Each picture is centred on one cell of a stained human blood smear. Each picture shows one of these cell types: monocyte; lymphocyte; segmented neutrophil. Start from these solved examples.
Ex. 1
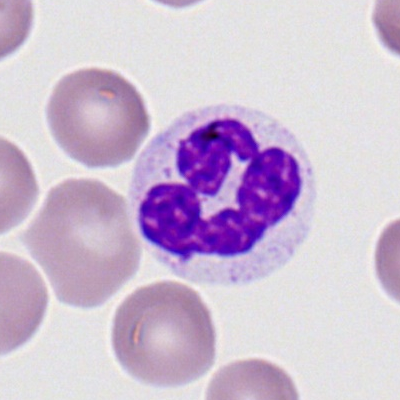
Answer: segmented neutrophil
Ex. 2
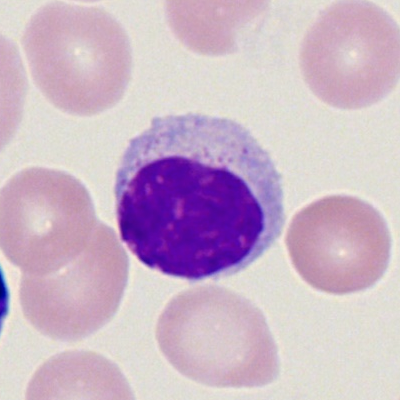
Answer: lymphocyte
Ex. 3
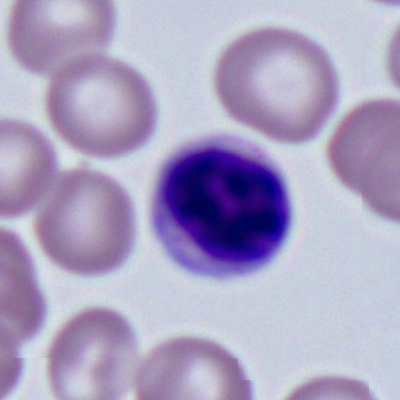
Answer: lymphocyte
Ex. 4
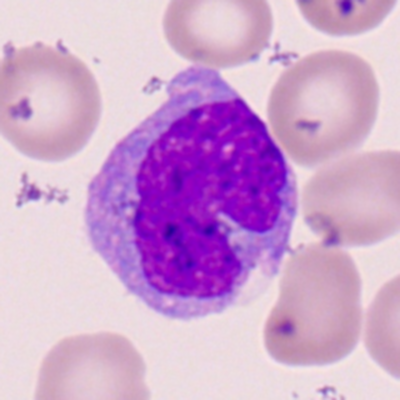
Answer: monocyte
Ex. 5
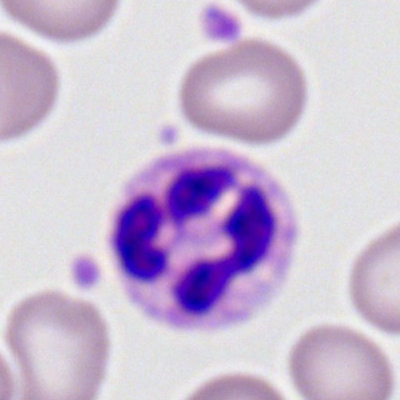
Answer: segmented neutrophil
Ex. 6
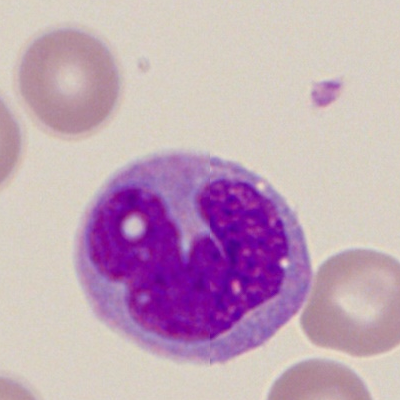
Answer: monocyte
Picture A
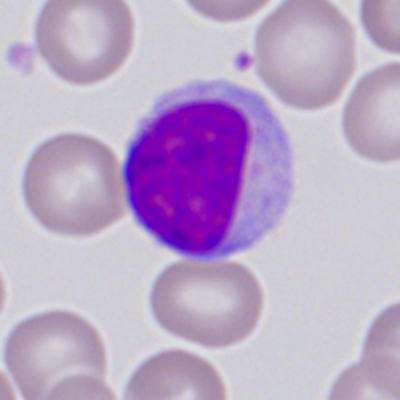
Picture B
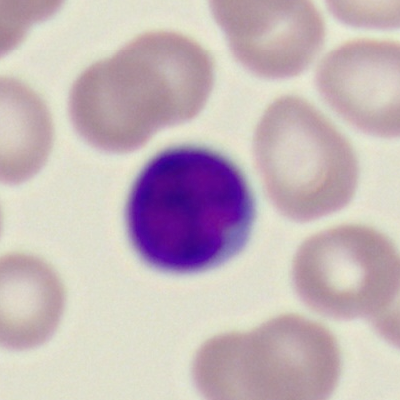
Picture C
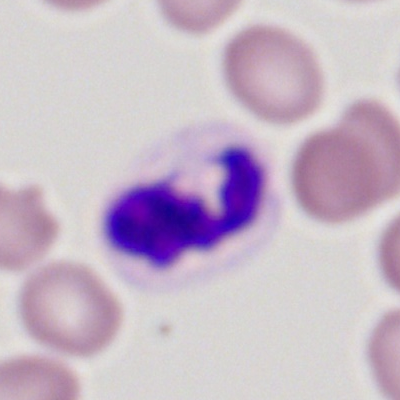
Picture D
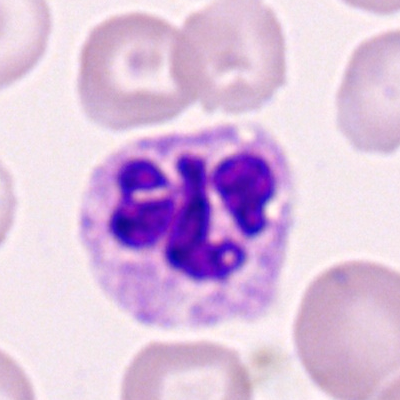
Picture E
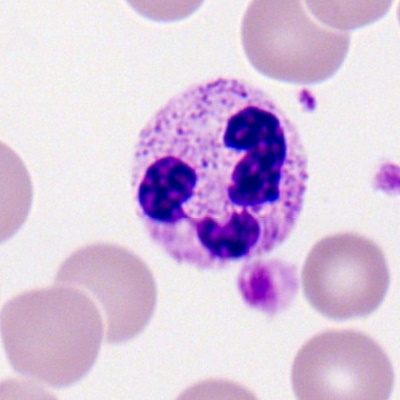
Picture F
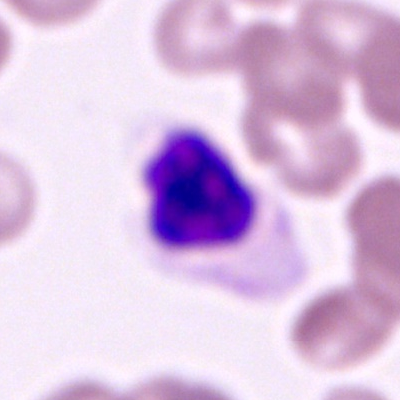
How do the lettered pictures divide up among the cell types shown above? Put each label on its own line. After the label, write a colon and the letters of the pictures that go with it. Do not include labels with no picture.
lymphocyte: A, B
segmented neutrophil: C, D, E, F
